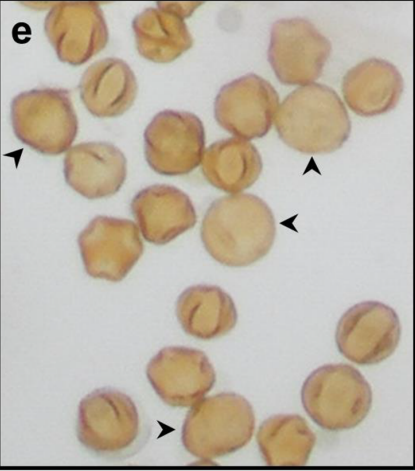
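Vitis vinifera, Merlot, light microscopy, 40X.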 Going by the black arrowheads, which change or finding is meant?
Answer: Abnormal pollen grains.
